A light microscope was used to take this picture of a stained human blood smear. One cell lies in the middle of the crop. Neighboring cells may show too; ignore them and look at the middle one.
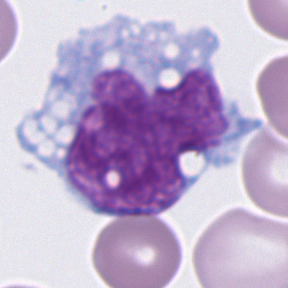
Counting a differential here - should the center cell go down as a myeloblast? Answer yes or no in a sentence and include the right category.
No, in the middle of the crop there is a monocyte rather than a myeloblast.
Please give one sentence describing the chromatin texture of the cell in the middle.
The nuclear chromatin is fine, showing no coarse aggregates.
